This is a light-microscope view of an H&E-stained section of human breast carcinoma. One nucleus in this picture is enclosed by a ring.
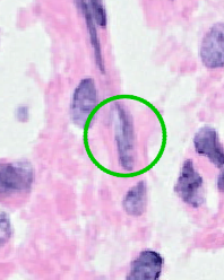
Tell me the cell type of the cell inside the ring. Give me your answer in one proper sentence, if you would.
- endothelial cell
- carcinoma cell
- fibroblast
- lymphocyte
The category to which the cell inside the ring belongs is that of an endothelial cell.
